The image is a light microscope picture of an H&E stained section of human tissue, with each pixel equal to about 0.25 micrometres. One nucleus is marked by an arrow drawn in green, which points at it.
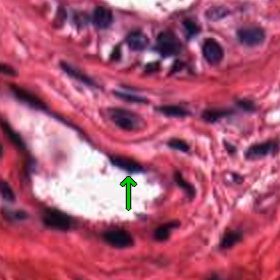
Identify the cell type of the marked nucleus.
endothelial cell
